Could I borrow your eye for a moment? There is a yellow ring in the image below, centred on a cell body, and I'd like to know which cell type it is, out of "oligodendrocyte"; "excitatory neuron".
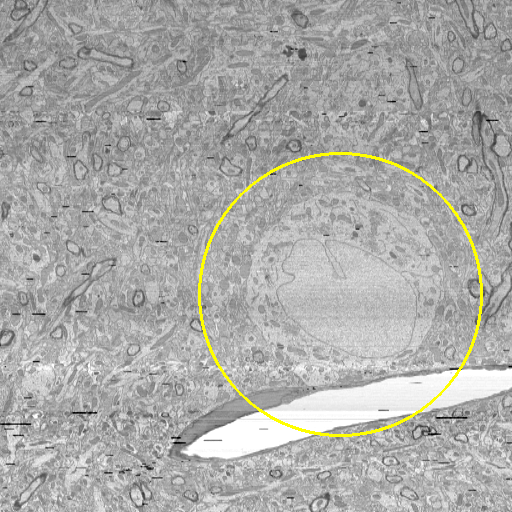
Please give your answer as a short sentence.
The cell body at the centre is that of an excitatory neuron.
